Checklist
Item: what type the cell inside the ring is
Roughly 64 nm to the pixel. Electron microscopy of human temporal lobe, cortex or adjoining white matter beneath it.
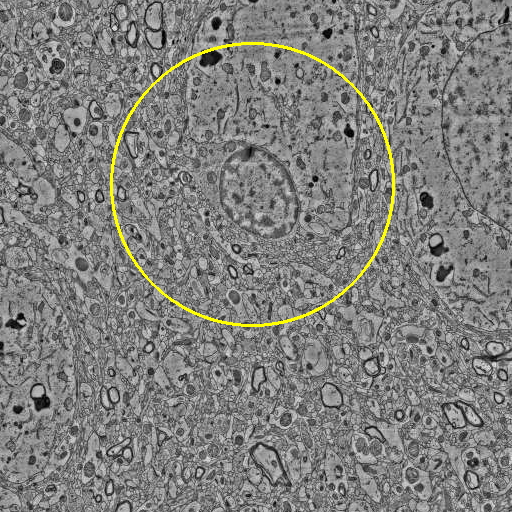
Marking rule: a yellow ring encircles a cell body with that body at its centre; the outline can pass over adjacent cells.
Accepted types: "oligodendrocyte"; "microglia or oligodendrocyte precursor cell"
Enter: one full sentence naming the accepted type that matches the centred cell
The entry is that an oligodendrocyte lies at the centre of the yellow ring.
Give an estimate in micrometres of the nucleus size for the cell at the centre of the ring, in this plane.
The nucleus is approximately 6 micrometers long by 5 micrometers wide in this plane.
